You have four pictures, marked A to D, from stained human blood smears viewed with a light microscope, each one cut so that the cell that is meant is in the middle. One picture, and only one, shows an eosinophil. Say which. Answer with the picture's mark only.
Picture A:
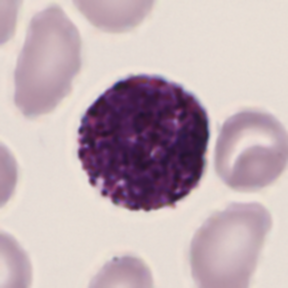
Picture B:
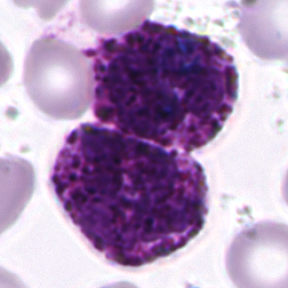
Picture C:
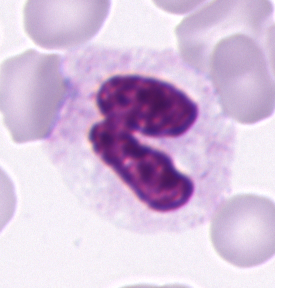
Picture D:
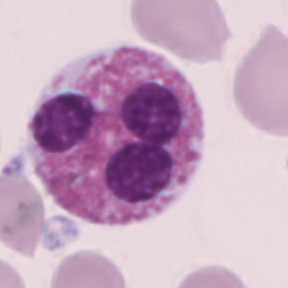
D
